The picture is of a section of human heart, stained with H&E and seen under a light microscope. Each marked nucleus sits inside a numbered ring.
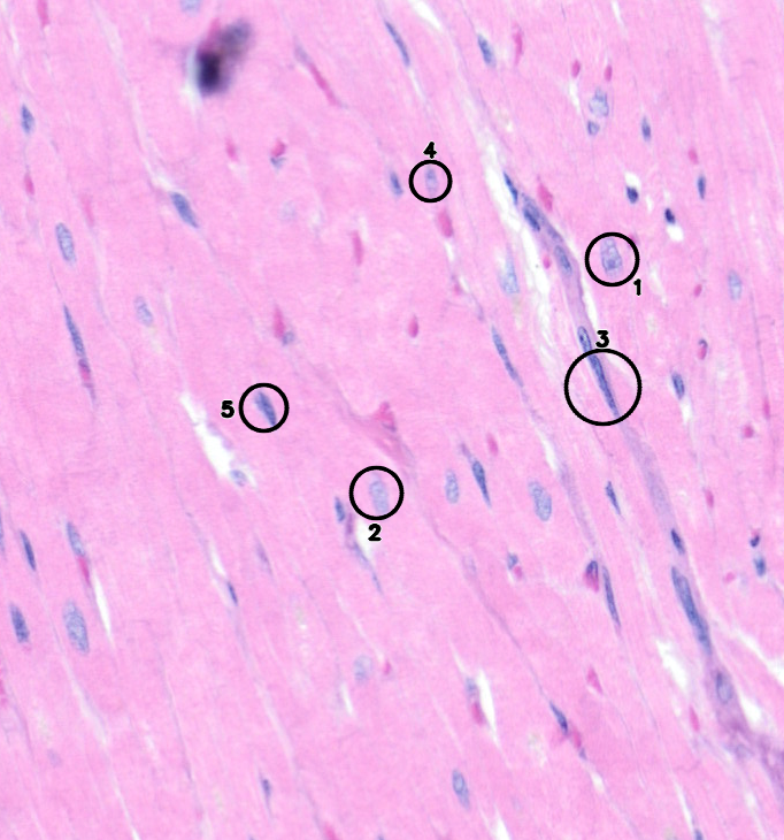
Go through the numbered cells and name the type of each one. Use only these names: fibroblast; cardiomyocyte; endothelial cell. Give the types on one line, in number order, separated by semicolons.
cardiomyocyte; cardiomyocyte; endothelial cell; cardiomyocyte; endothelial cell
